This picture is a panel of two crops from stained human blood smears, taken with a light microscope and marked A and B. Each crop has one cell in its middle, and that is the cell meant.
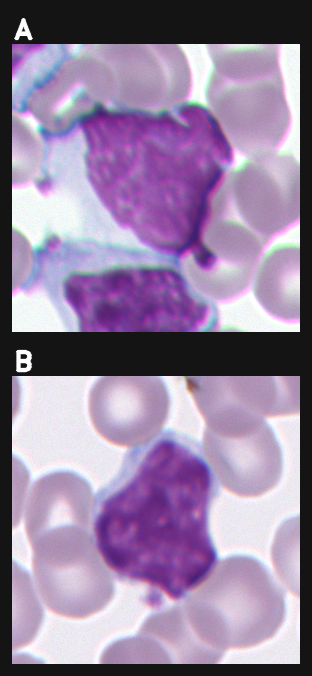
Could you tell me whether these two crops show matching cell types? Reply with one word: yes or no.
yes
